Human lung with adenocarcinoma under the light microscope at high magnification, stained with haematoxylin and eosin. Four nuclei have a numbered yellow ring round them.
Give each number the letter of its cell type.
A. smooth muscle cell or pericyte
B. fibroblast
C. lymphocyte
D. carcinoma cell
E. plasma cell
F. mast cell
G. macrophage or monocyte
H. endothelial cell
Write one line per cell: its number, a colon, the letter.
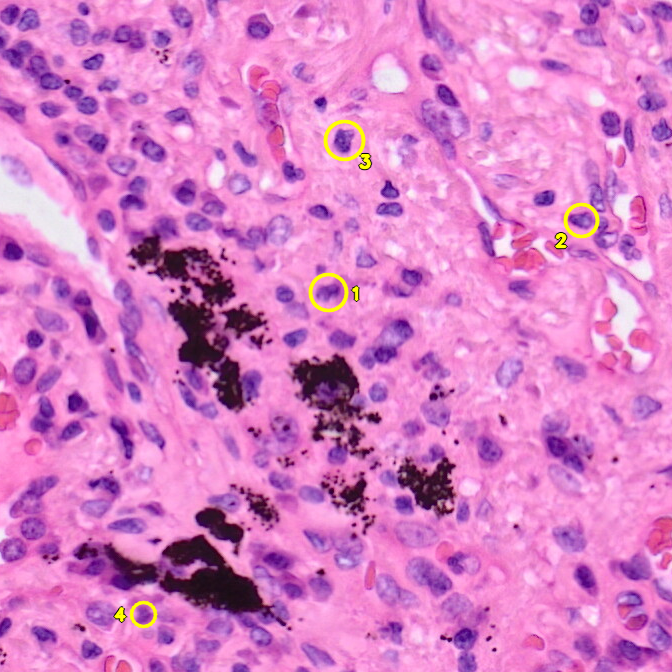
1: E
2: F
3: C
4: E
